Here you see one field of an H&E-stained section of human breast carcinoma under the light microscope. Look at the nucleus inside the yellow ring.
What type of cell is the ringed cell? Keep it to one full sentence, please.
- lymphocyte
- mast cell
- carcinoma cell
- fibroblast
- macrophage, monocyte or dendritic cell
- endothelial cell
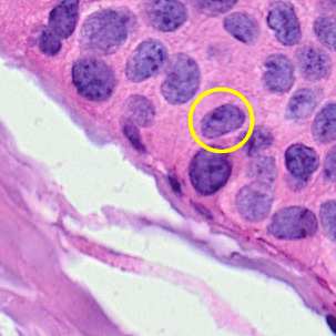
Considered by cell type, the ringed cell is a carcinoma cell.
